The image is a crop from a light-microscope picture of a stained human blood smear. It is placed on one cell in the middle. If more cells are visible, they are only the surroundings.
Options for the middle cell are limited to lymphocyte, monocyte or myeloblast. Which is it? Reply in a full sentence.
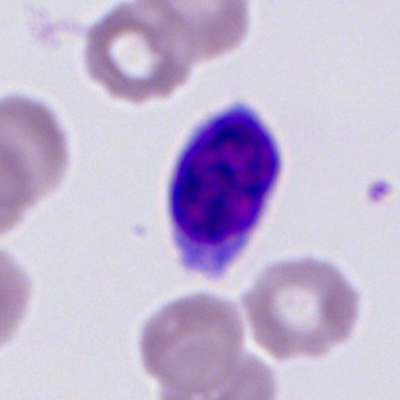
The central cell shown in this smear crop is a lymphocyte.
